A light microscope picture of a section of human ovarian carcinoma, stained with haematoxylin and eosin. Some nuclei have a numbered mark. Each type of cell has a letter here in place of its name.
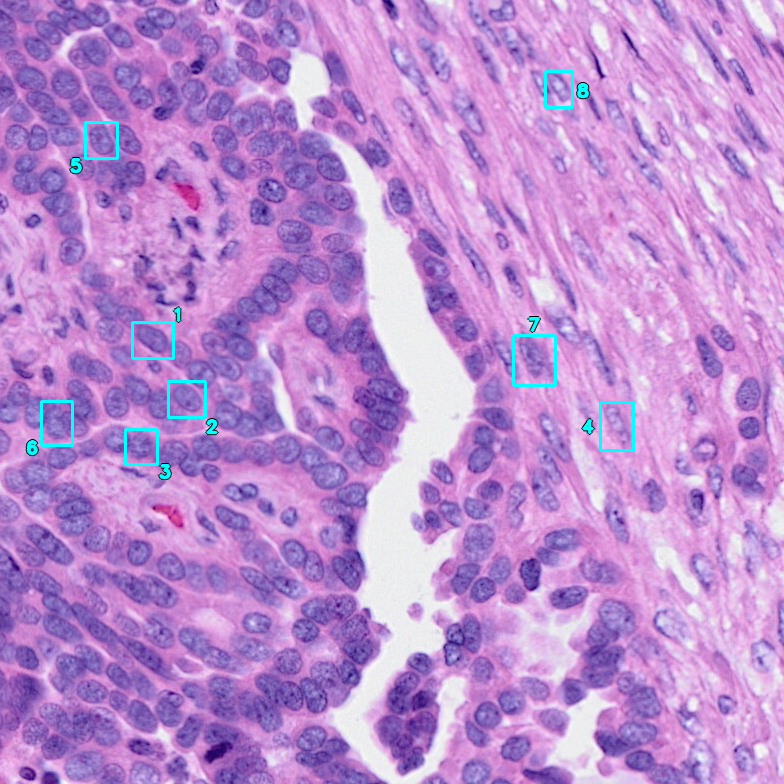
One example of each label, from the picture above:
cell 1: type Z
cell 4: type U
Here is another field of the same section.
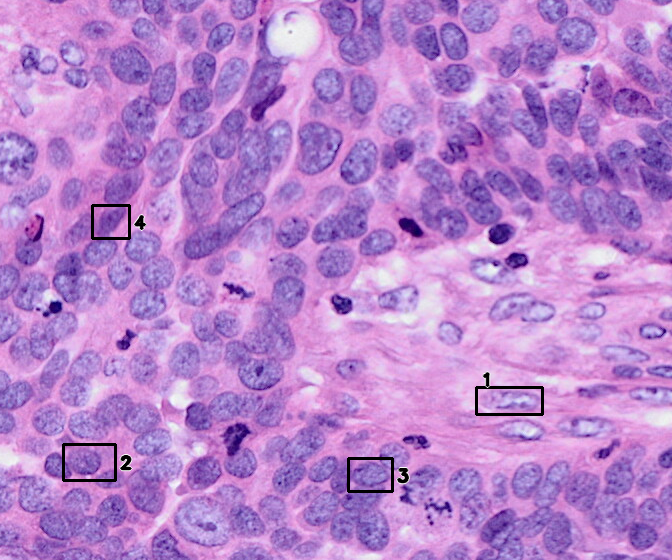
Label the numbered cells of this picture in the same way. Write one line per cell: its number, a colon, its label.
1: type U
2: type Z
3: type Z
4: type Z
